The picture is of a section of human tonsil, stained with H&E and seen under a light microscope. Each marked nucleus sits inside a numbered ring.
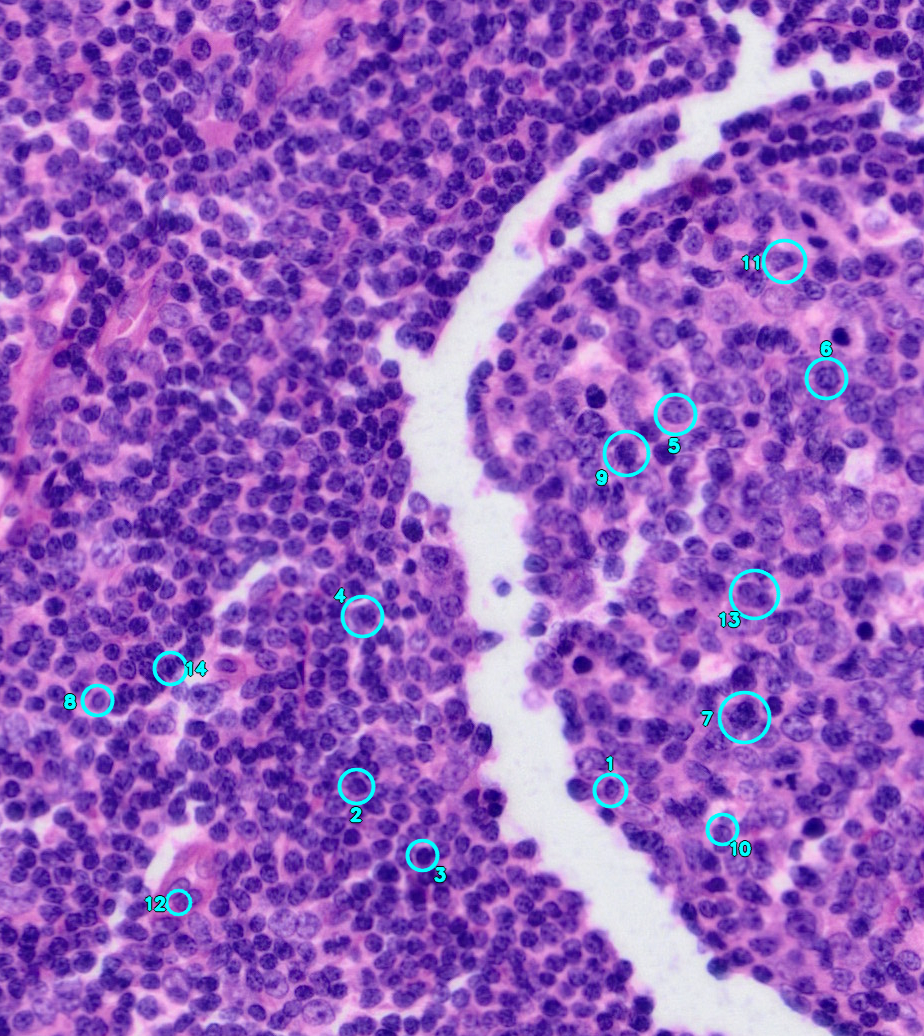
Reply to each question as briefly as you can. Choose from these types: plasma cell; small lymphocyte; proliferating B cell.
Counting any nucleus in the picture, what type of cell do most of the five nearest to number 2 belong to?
small lymphocyte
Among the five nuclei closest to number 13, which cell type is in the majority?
proliferating B cell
